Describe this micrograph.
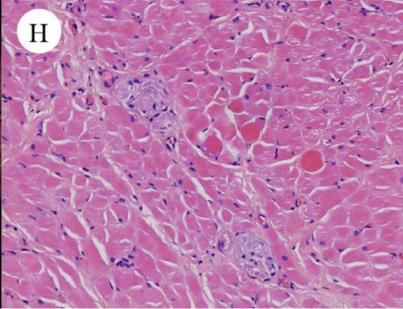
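This cross-section shows mature skeletal muscle fibers lying among small peripheral nerve fascicles. The muscle fibers are polygonal, tightly packed profiles with pink, homogeneous cytoplasm and small dark nuclei at their edges. Scattered between them are small round nerve fascicles with pale, finely wavy content and thin elongated nuclei. A few fibers appear as rounded, more intensely pink profiles.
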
